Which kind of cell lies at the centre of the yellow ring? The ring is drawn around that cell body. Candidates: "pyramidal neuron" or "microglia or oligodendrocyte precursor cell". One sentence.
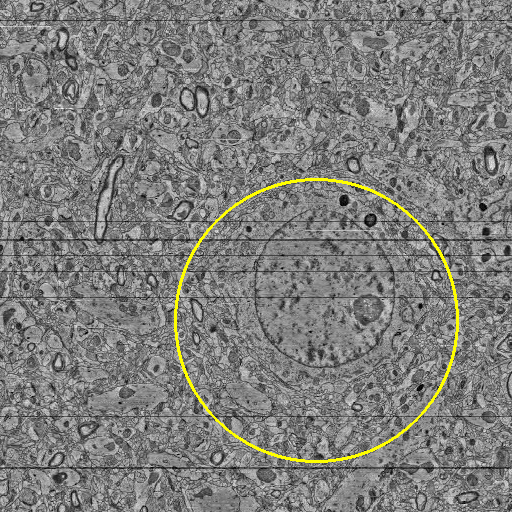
Lying at the centre of the ring is a pyramidal neuron.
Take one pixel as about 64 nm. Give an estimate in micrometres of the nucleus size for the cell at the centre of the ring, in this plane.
In this plane, the nucleus of the cell at the centre of the ring measures about 11 by 9 micrometres.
